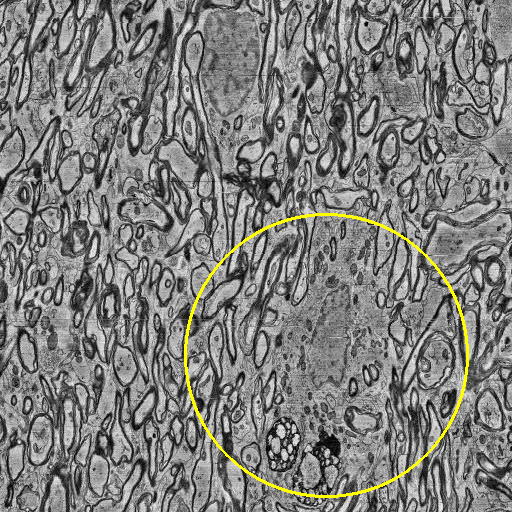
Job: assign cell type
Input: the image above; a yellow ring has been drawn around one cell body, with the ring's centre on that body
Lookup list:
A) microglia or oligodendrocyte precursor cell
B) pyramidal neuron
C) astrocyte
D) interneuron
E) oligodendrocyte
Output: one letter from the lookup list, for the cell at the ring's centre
C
